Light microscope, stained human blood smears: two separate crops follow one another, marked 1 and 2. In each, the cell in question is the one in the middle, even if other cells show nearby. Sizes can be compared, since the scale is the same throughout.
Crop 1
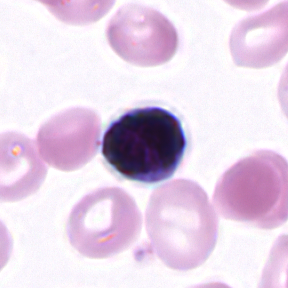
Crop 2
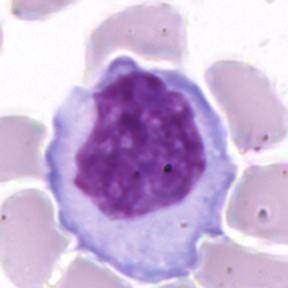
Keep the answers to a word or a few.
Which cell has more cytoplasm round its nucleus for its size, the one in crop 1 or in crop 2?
2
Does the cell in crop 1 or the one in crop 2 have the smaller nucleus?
1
